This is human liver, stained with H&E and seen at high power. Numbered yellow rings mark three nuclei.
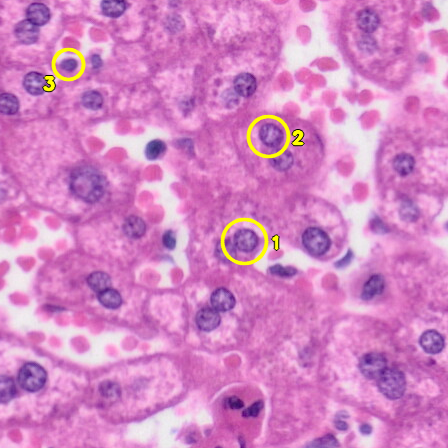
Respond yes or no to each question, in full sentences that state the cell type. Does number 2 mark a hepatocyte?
Yes, regarding number 2, the cell is a hepatocyte.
